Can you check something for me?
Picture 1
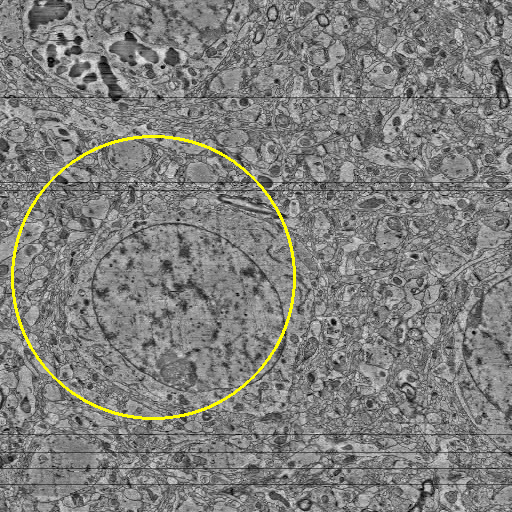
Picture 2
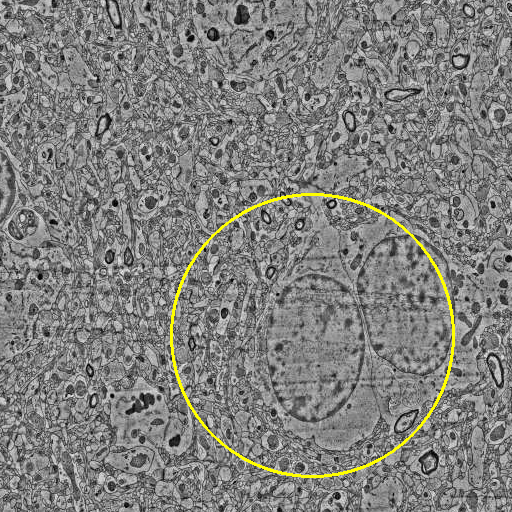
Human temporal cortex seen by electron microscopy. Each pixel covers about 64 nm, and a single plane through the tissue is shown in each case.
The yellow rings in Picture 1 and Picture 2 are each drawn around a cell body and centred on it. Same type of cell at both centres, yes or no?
no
